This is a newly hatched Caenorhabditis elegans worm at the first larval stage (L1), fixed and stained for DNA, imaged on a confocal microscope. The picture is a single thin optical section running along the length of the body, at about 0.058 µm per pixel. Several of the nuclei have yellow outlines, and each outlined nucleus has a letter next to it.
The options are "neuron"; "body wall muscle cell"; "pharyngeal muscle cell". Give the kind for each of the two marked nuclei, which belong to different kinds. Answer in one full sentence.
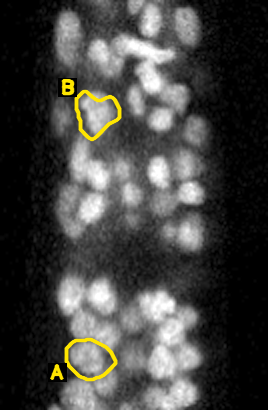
A belongs to a neuron and B to a pharyngeal muscle cell.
